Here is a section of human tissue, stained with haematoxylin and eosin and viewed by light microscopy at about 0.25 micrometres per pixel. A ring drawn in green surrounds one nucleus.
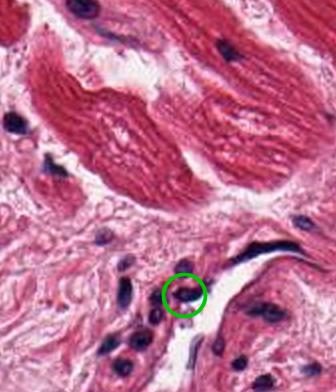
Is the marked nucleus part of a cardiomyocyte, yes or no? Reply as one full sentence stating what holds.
No, the marked nucleus does not form part of a cardiomyocyte, being part of a supporting cell.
